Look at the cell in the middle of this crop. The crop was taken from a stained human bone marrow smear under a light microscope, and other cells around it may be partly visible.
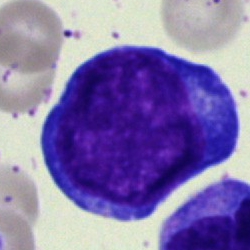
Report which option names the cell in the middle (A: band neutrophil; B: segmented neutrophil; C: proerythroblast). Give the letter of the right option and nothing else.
C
